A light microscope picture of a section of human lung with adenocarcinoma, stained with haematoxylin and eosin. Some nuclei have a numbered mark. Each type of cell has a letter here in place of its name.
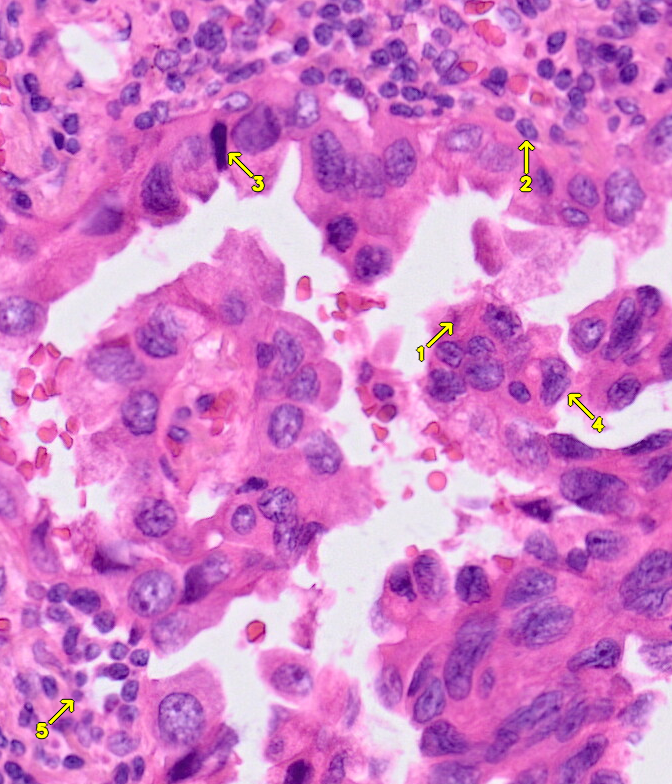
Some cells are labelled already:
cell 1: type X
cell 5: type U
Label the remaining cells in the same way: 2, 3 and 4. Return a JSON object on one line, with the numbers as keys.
{"2": "type U", "3": "type X", "4": "type X"}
